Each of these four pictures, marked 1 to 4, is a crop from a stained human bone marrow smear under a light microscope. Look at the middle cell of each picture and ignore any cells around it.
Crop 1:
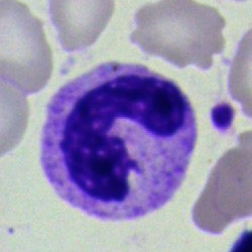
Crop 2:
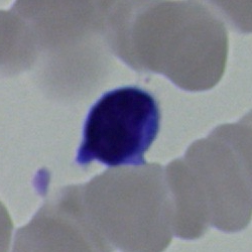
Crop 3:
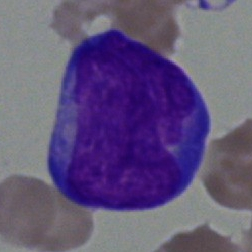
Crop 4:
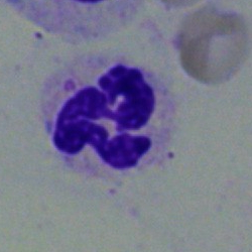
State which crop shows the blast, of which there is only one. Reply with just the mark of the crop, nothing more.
3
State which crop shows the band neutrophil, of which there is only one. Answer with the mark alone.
1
